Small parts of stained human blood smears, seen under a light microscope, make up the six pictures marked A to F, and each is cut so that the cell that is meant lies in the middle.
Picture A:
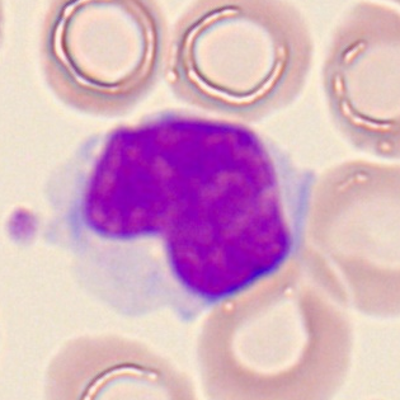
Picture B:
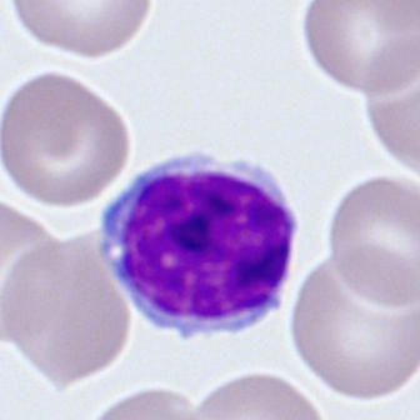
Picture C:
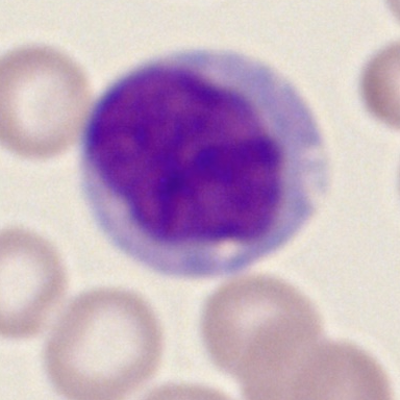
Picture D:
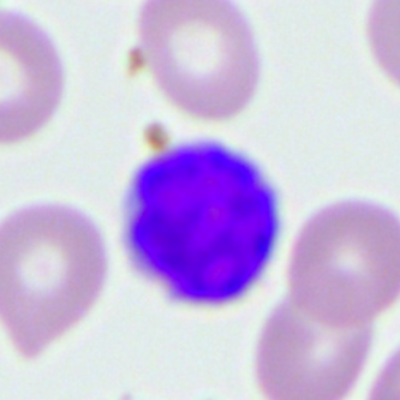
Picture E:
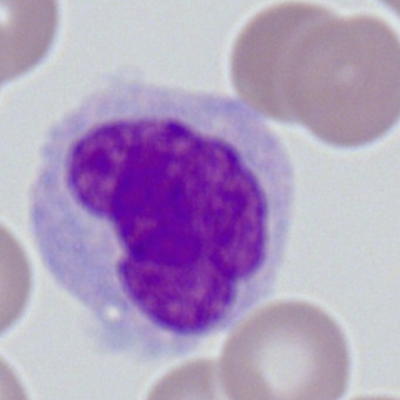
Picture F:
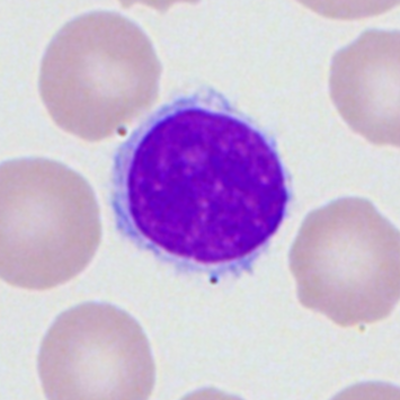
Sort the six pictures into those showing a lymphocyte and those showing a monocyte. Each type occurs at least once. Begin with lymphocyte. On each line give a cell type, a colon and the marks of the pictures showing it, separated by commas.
lymphocyte: A, B, D, F
monocyte: C, E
